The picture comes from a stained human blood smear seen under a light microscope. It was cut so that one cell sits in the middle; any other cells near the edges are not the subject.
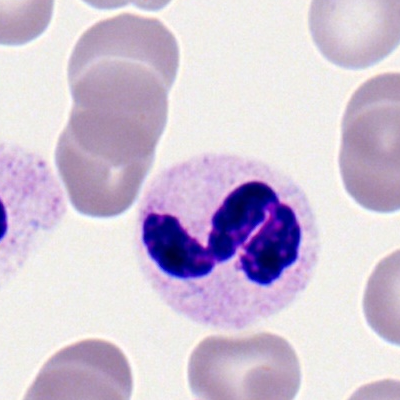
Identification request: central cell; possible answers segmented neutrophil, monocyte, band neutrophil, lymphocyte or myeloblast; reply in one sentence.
The cell in the middle of this crop is a segmented neutrophil.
